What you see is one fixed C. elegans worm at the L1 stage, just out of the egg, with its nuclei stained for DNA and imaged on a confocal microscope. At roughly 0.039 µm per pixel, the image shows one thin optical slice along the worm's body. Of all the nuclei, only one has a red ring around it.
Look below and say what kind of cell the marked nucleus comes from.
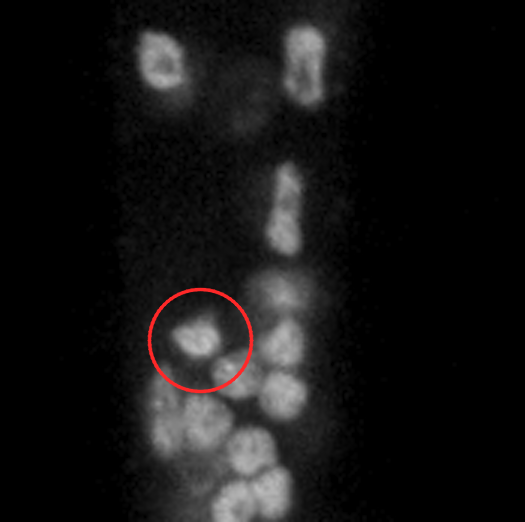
valve cell of the gut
